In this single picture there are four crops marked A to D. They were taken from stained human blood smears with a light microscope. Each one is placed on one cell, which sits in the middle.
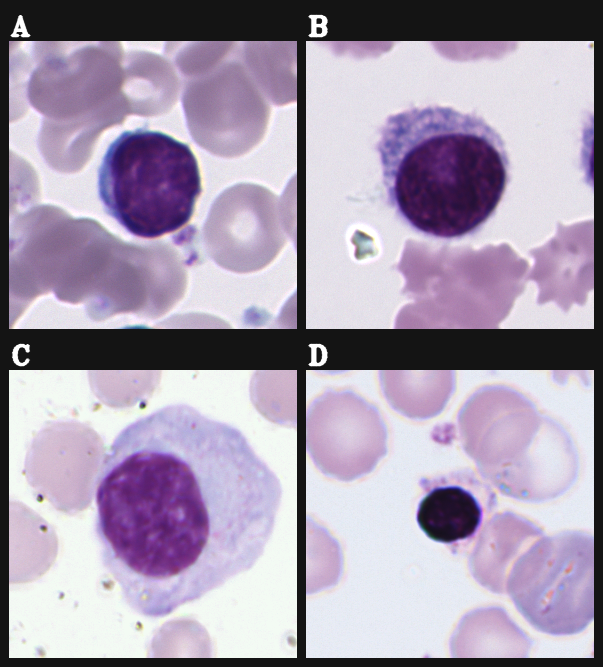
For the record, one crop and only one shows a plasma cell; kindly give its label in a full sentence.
Of the crops given, a plasma cell is found in crop C.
